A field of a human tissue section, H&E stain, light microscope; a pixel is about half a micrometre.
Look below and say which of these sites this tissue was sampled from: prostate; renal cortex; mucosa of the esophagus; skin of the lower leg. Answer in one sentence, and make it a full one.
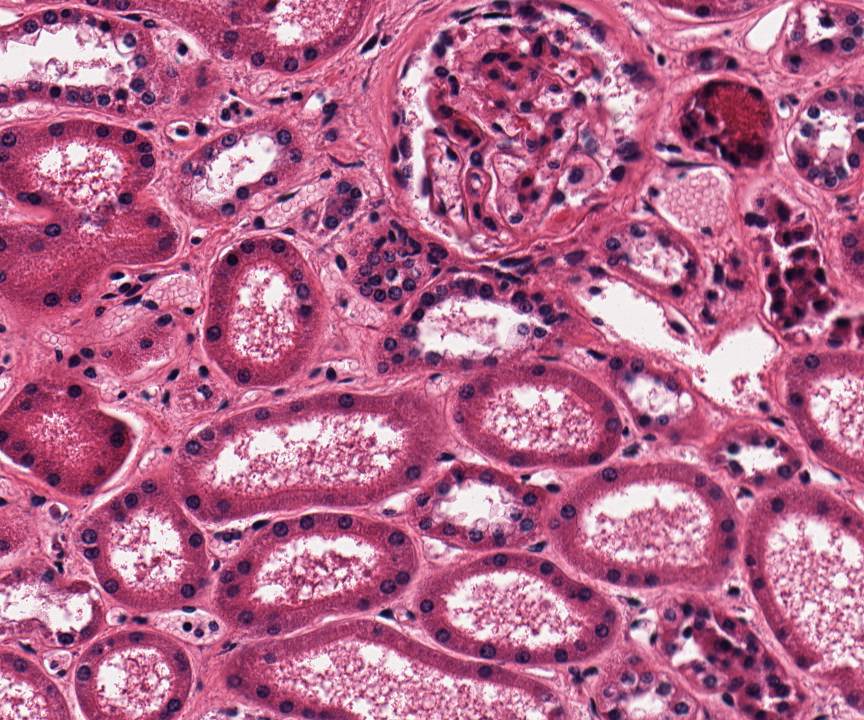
The section was prepared from tissue of the renal cortex.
